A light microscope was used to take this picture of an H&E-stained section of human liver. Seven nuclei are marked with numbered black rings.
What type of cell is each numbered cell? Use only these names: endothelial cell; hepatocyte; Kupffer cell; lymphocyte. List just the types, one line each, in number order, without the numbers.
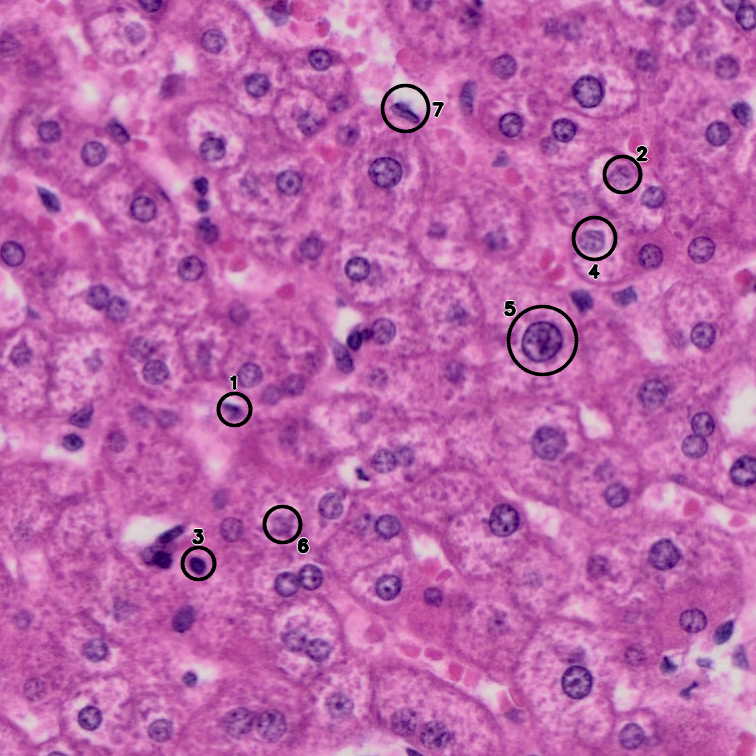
endothelial cell
hepatocyte
lymphocyte
hepatocyte
hepatocyte
hepatocyte
endothelial cell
